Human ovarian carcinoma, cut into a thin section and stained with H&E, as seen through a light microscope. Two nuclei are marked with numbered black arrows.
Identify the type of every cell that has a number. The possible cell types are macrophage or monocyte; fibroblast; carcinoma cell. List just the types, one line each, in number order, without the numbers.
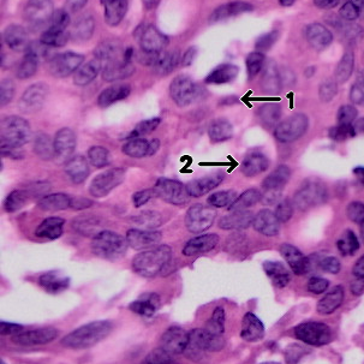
carcinoma cell
macrophage or monocyte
